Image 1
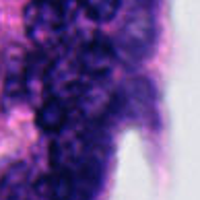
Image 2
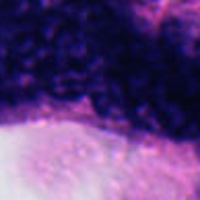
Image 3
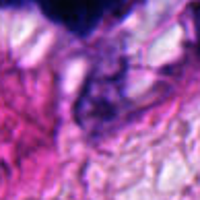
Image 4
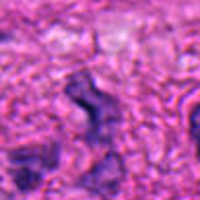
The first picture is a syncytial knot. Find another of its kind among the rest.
Picture 2.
